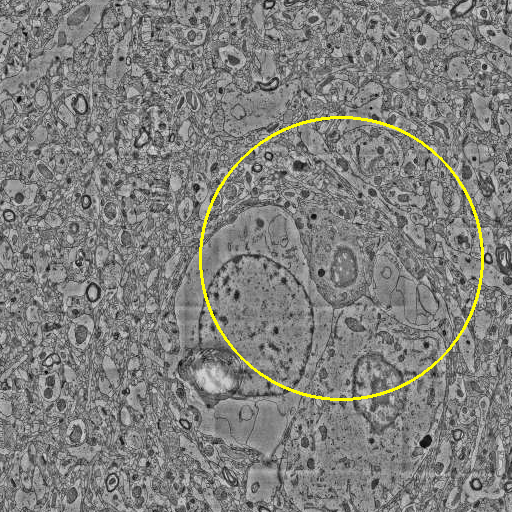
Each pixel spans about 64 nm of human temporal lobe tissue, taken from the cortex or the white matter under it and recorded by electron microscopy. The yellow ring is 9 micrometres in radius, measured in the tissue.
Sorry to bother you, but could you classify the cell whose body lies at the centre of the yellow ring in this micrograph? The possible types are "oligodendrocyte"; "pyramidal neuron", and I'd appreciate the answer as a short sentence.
The ringed cell body is that of an oligodendrocyte.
